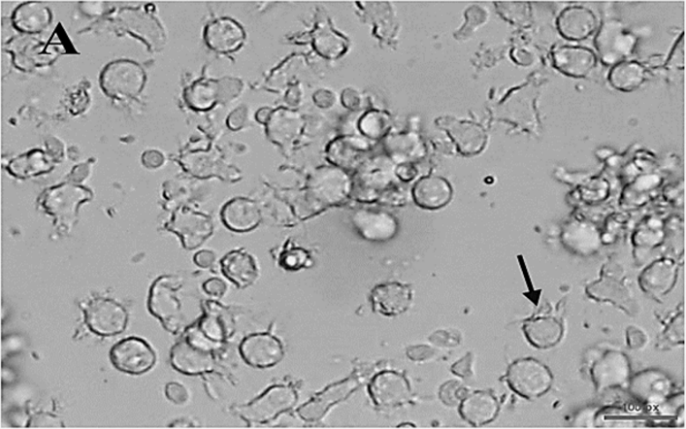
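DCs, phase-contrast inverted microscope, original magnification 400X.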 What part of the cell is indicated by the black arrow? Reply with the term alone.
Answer: Short cytoplasmic projections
